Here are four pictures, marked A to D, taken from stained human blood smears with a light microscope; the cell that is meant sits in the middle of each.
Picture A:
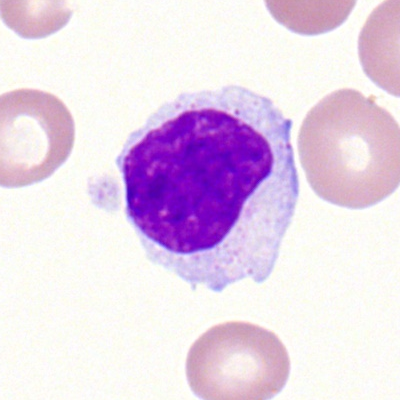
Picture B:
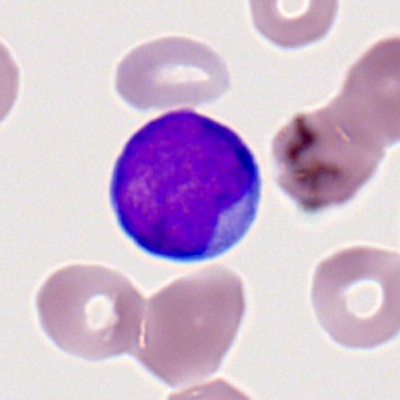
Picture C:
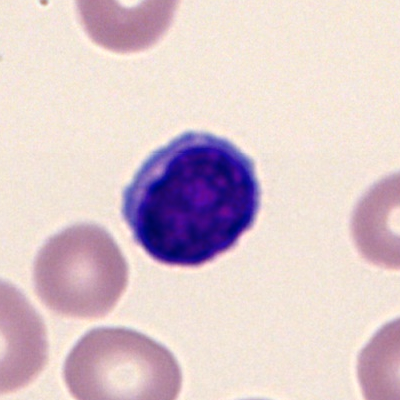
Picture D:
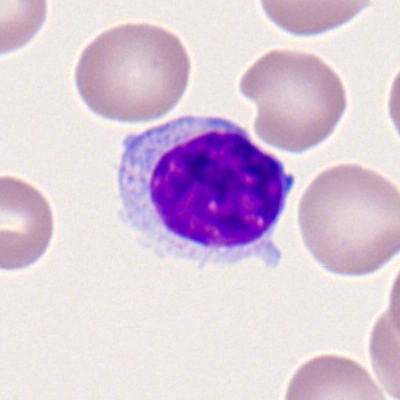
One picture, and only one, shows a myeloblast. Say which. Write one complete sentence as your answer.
The myeloblast is the one in picture B.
